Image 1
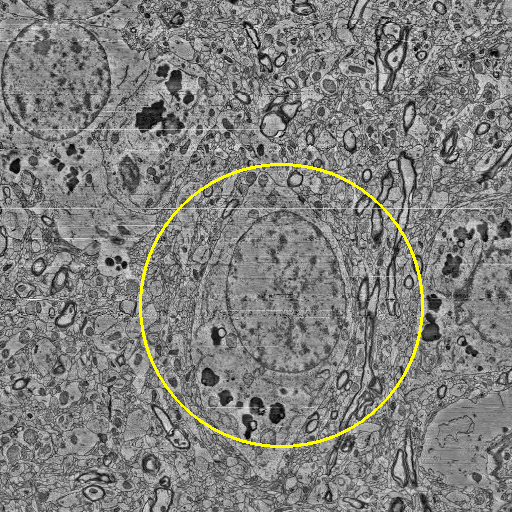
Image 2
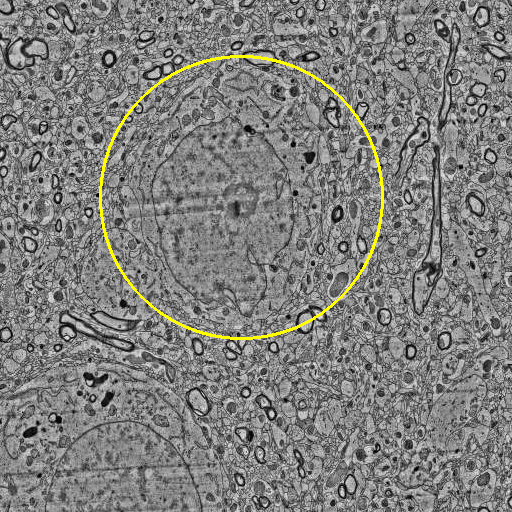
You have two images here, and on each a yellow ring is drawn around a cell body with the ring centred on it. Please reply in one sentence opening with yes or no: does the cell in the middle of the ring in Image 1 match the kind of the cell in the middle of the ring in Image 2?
Yes, the two images show cells of one kind at the centres of their rings.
